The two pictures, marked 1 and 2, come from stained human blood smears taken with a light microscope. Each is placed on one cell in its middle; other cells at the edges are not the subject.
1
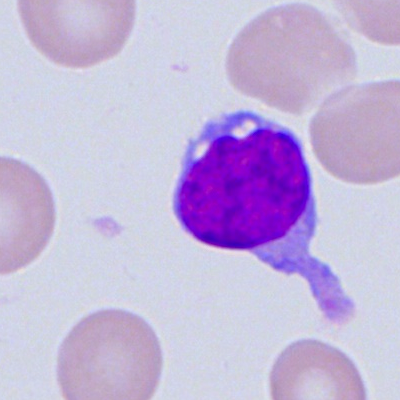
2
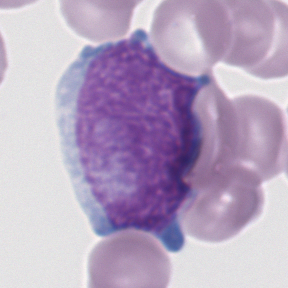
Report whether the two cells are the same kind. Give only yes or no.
no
